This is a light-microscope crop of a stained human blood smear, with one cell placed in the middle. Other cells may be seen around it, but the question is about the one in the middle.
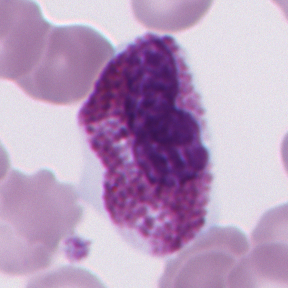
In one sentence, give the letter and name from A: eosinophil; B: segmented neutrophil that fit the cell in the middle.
The cell at the heart of the crop is an eosinophil, so choose option A.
